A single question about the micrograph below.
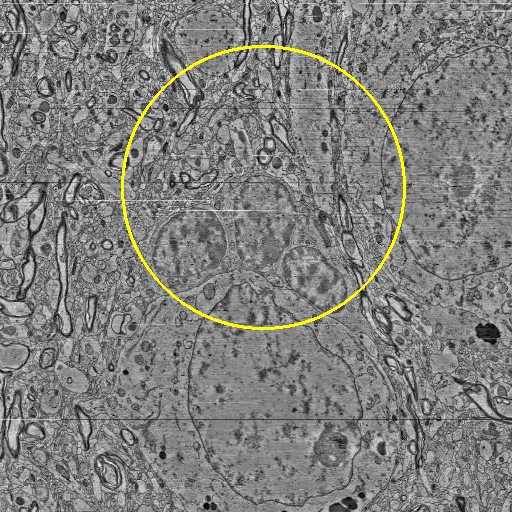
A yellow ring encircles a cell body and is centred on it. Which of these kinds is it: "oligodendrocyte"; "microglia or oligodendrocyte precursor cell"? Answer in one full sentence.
The cell body at the centre of the yellow ring belongs to an oligodendrocyte.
